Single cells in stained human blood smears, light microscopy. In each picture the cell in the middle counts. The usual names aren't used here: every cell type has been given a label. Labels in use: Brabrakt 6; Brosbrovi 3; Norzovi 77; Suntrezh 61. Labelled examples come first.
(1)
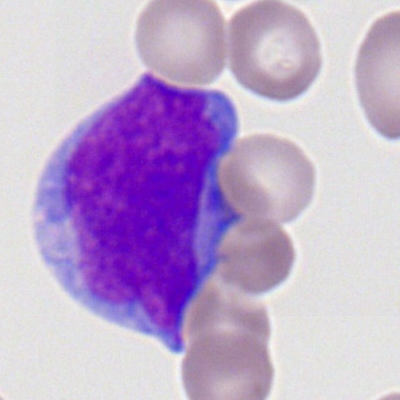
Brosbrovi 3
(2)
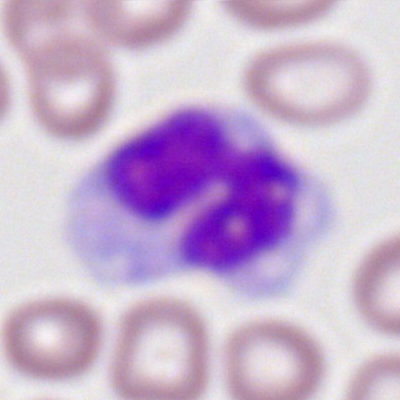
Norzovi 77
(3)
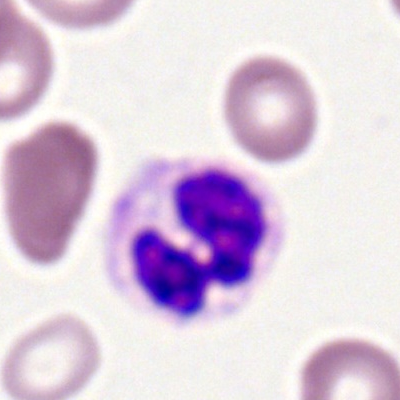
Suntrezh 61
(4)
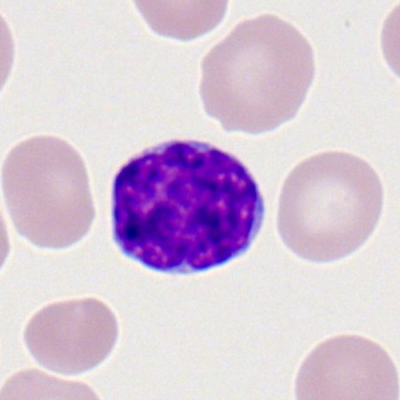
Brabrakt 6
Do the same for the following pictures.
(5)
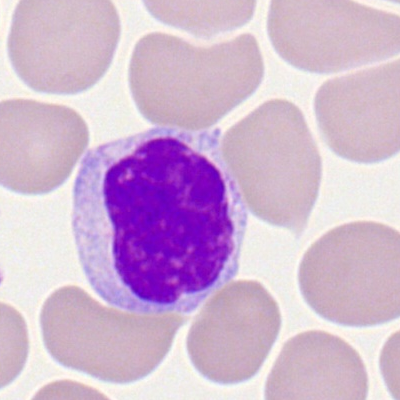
Brabrakt 6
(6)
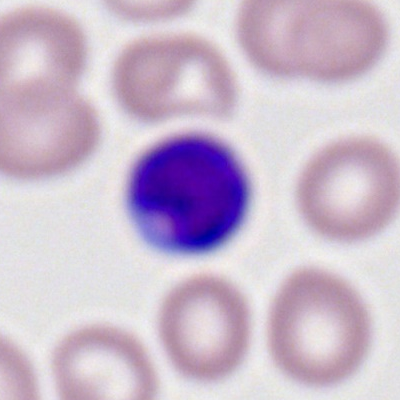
Brabrakt 6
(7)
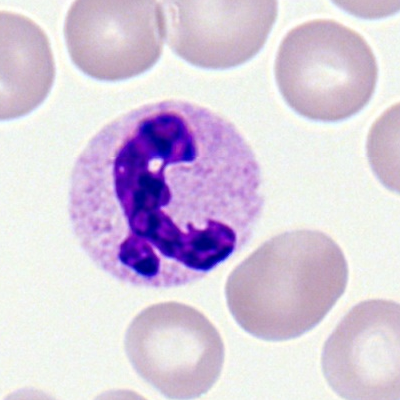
Suntrezh 61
